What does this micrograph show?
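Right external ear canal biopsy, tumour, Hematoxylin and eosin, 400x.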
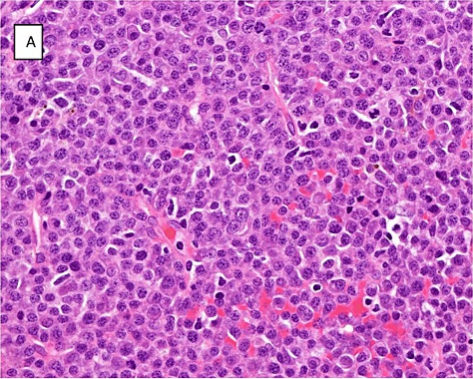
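A dense, uniform sheet of round cells fills the field, each with a round, often eccentrically placed nucleus of coarse chromatin and a modest rim of pink to purplish cytoplasm. Only delicate vessels and a few wisps of pink stroma and red blood cells separate the cells. This is a large aggregate of atypical plasma cells infiltrating soft tissue.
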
